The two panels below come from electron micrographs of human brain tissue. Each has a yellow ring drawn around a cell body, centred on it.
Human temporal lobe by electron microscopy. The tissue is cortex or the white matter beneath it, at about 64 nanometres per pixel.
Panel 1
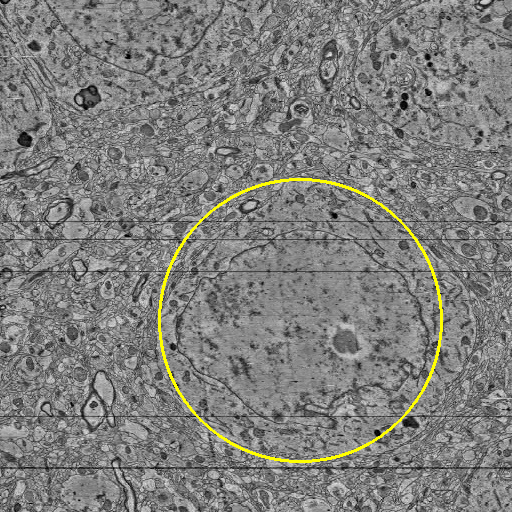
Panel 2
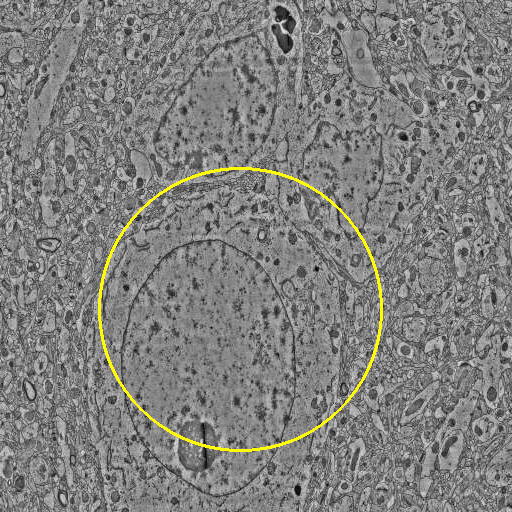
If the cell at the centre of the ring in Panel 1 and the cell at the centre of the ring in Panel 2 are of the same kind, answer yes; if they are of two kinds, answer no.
yes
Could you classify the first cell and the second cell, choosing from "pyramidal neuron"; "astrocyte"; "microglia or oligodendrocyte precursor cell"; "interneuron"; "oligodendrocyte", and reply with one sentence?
Both the first and the second picture show a pyramidal neuron in the ring.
